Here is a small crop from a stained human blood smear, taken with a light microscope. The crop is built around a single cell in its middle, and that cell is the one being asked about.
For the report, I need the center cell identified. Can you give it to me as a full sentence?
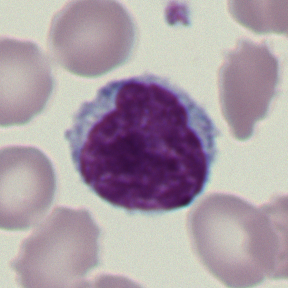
Framed in the middle of the crop is a typical lymphocyte.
